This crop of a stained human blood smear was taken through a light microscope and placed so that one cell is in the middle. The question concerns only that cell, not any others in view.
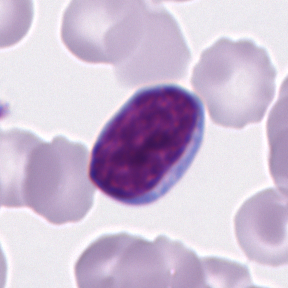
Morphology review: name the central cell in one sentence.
Standing at the centre of this crop is a typical lymphocyte.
